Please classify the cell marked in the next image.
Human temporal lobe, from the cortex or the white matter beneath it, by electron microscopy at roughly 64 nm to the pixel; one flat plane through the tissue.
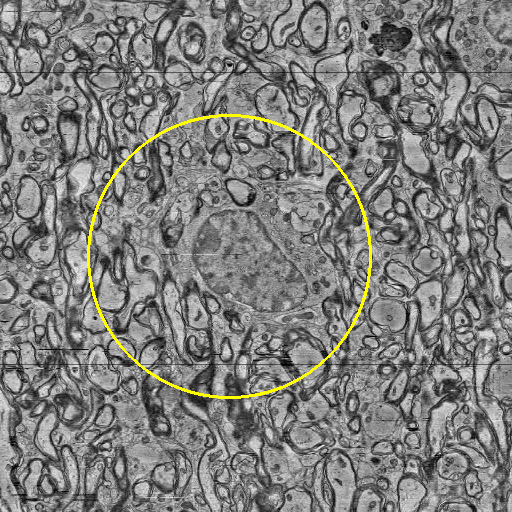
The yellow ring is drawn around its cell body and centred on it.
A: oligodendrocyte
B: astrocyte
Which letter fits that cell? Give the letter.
A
